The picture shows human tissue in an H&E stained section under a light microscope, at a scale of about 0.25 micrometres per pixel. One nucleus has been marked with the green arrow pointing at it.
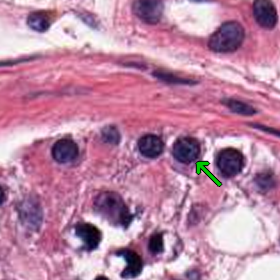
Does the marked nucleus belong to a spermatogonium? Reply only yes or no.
yes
